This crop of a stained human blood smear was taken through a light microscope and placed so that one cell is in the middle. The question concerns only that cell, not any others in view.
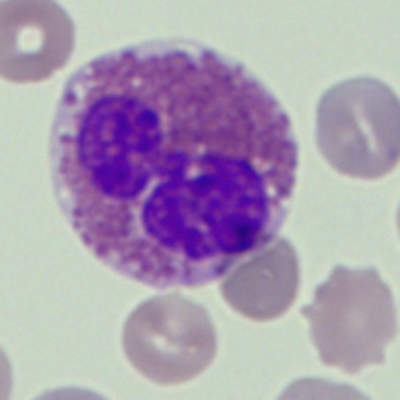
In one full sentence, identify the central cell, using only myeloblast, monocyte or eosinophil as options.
As for the central cell, it is an eosinophil.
